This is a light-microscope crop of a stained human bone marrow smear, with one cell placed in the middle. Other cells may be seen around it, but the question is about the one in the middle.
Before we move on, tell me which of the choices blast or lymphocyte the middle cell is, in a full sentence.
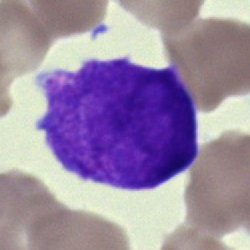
The cell at the heart of this crop is a blast.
